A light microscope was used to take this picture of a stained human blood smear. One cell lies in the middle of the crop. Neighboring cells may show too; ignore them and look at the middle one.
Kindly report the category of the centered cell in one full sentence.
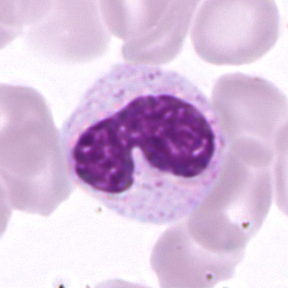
The central cell shown in this smear crop is a band neutrophil.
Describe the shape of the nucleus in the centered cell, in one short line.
There is one compact nucleus, and its shape is round, oval or kidney-like.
